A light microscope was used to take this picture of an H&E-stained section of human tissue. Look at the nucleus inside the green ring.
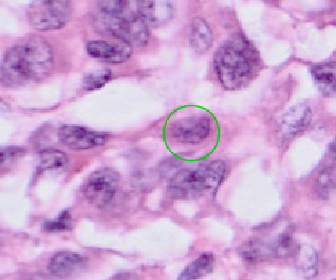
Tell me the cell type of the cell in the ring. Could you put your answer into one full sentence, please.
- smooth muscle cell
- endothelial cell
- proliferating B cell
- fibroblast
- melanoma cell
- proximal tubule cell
Cell type answer for this item: the cell in the ring is a melanoma cell.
